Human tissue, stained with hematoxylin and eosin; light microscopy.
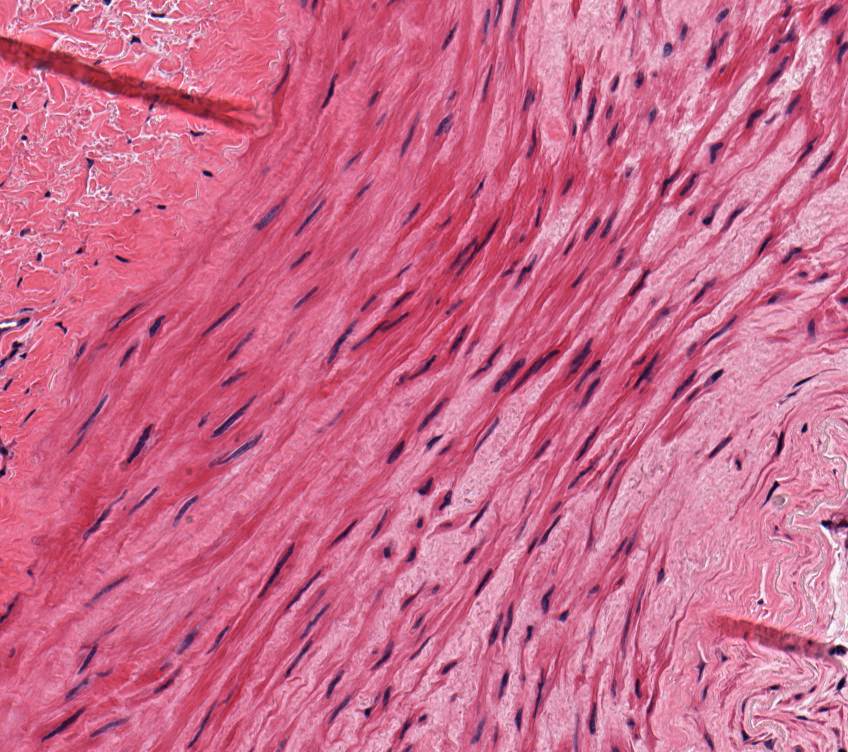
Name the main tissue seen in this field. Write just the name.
tunica media of an artery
